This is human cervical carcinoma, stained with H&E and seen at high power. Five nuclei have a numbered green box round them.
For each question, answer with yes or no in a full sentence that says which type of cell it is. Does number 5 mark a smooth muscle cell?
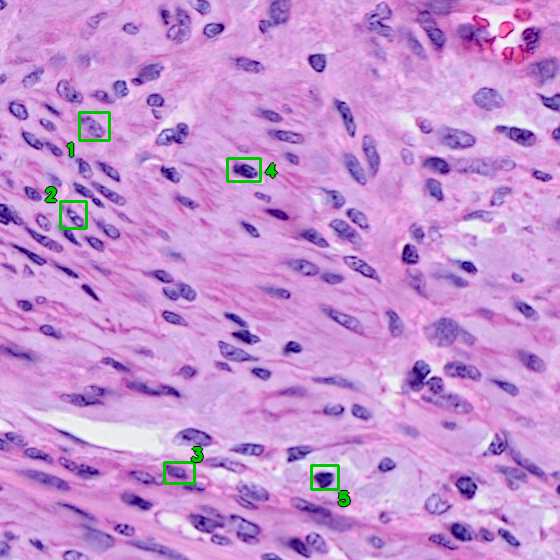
No, the cell at number 5 is a lymphocyte instead of a smooth muscle cell.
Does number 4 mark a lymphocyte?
Yes, the cell that the number 4 labels is a lymphocyte.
